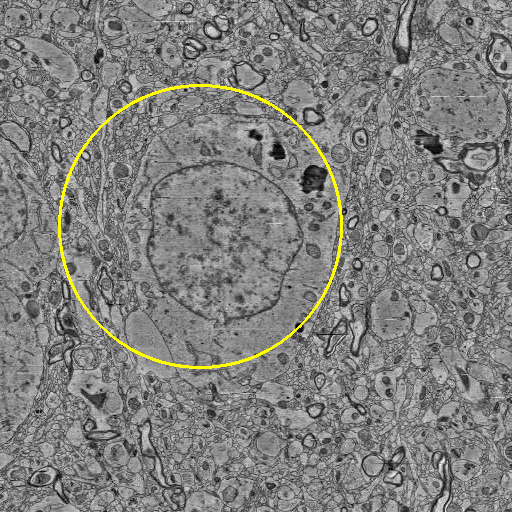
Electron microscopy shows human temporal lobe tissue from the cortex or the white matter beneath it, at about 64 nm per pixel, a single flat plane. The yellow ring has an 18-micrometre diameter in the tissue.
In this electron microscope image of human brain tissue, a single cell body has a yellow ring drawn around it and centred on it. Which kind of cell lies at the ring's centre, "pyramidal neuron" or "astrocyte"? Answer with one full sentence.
It is a pyramidal neuron whose cell body lies at the centre of the yellow ring here.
